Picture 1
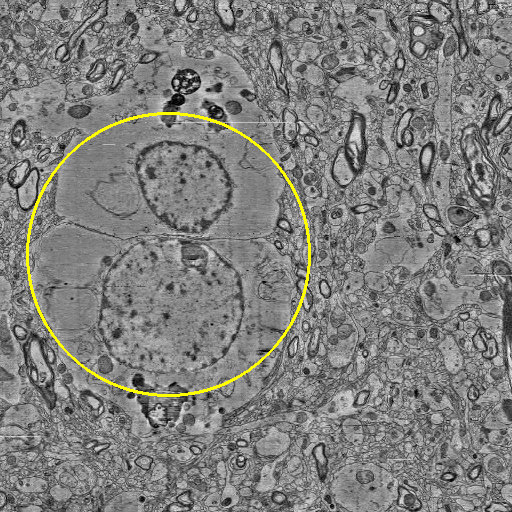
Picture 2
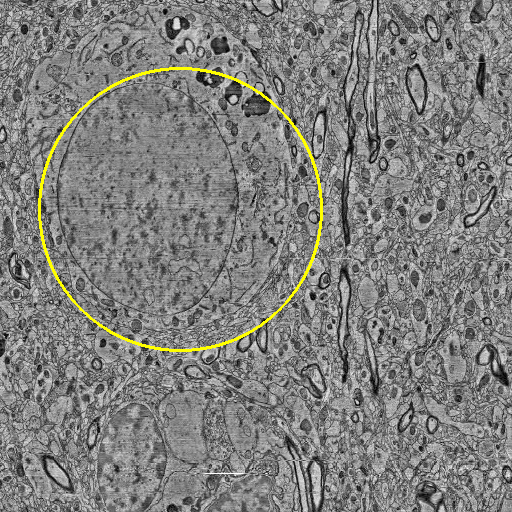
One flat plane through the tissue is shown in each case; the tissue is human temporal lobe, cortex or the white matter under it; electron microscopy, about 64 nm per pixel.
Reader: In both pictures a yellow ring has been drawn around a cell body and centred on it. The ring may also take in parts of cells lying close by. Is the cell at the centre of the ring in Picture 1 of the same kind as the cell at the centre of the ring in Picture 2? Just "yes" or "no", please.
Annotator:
no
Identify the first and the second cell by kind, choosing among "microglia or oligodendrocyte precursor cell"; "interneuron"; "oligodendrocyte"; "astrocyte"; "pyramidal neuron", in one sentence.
The one in the first picture is an astrocyte, while the one in the second is a pyramidal neuron.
